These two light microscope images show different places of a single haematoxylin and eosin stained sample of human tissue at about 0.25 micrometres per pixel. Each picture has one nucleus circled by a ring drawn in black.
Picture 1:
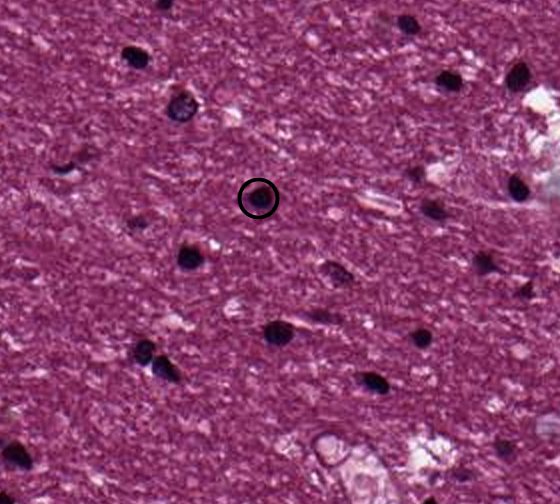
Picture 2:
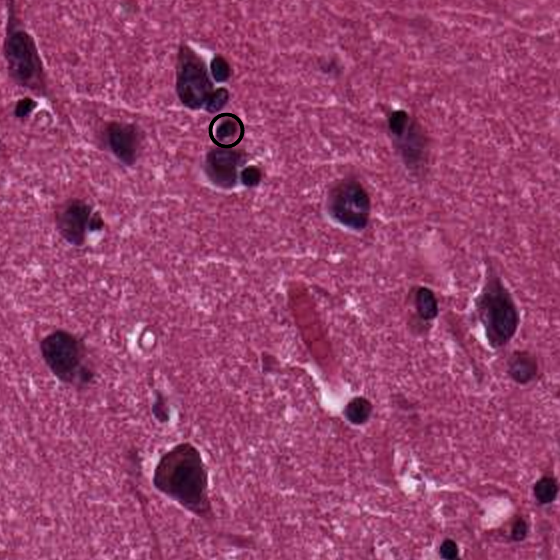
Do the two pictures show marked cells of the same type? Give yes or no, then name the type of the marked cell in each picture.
Yes, both are oligodendrocytes.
